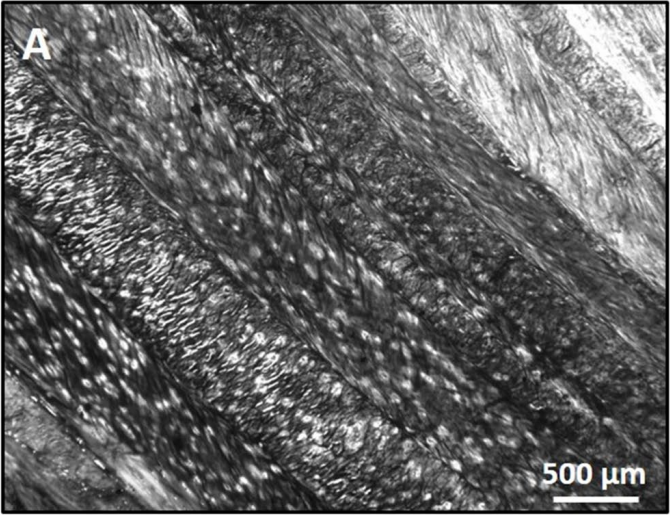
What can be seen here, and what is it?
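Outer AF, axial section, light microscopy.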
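Fibrous tissue arranged as parallel lamellae, seen as broad bands running diagonally across the field. Within each band the fiber tracts share one direction, while neighbouring bands show fibers at different angles, giving a striped, woven texture dotted with small bright spots.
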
